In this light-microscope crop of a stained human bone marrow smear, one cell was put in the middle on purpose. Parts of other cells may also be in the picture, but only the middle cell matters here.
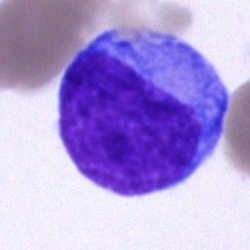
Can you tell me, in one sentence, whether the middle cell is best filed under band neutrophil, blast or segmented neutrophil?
The cell of interest, in the center, is a blast.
